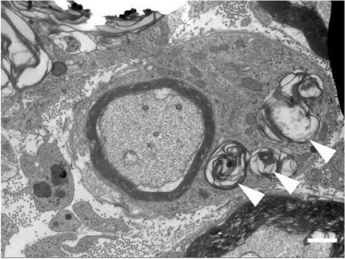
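Peripheral nerve with a Schwann cell enclosing one axon wrapped by a dark, compact myelin sheath. Its cytoplasm holds several dark, concentrically lamellated whorls of myelin debris lying beside the sheathed axon.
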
